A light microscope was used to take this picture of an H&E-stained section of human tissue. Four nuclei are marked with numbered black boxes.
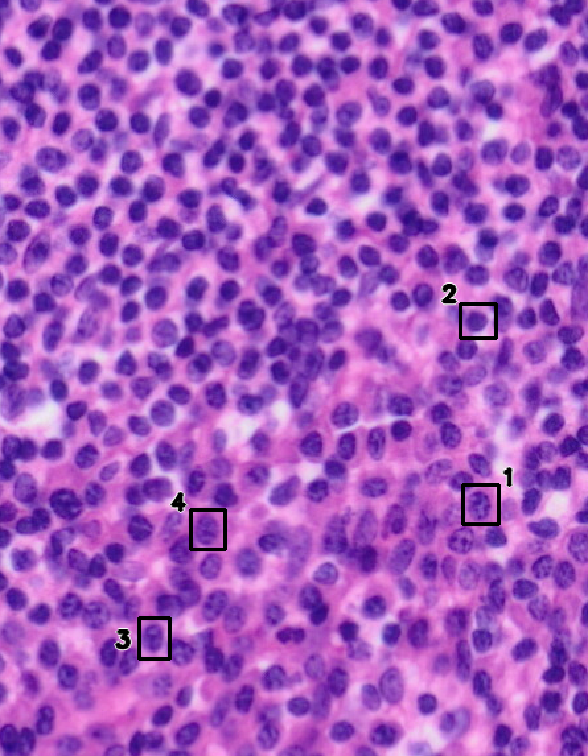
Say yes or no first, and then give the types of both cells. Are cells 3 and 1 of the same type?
Yes, both are plasma cells.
